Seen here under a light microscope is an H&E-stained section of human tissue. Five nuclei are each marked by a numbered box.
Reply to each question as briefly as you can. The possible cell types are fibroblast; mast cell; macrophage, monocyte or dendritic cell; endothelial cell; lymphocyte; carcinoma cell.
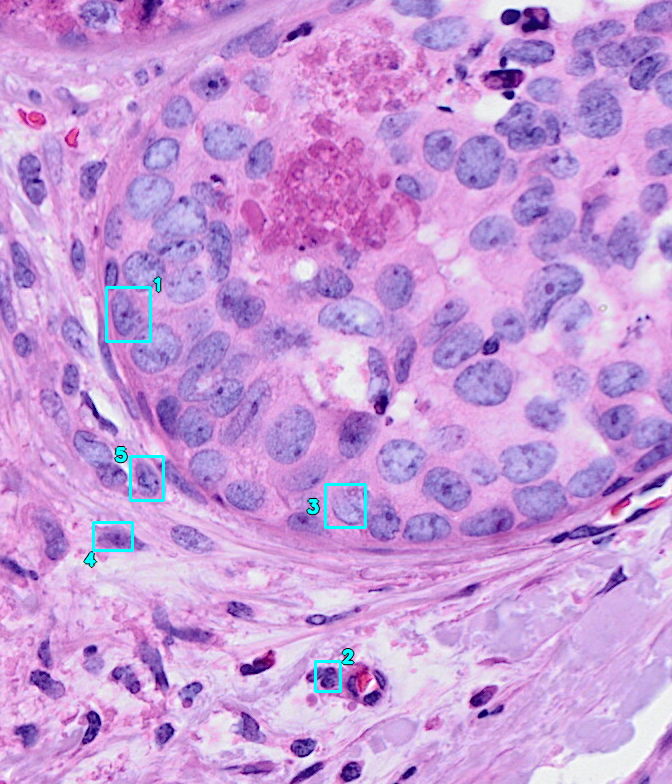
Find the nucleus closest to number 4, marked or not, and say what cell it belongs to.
fibroblast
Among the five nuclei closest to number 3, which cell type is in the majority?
carcinoma cell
